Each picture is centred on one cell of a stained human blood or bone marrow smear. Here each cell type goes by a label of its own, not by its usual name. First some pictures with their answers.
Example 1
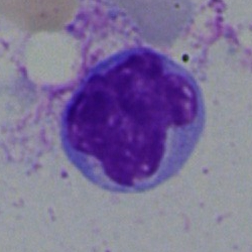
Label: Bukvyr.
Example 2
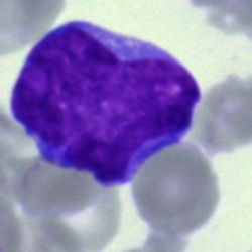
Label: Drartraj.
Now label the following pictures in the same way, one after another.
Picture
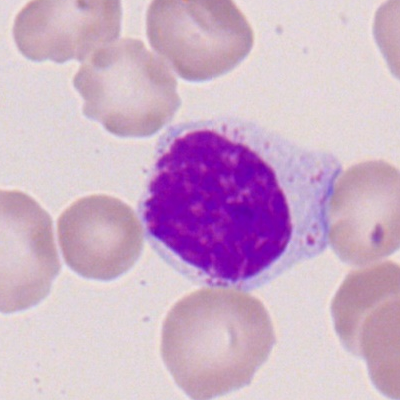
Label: Bukvyr.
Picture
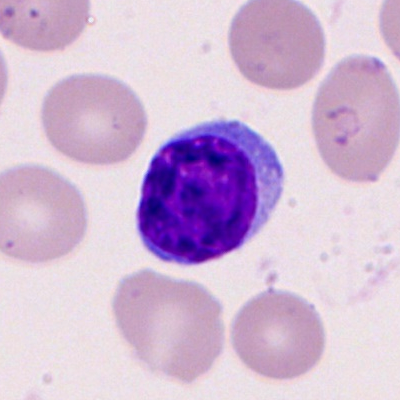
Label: Bukvyr.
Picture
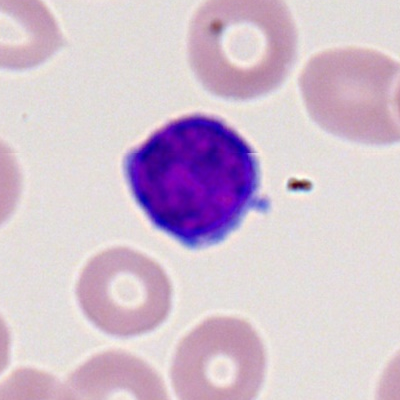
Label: Bukvyr.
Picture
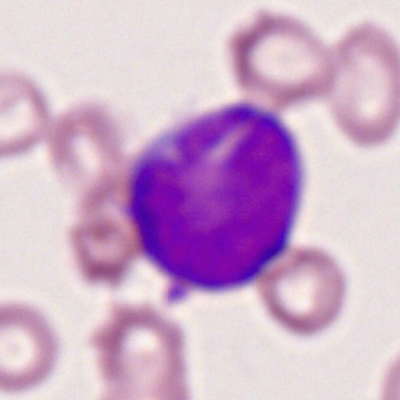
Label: Drartraj.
